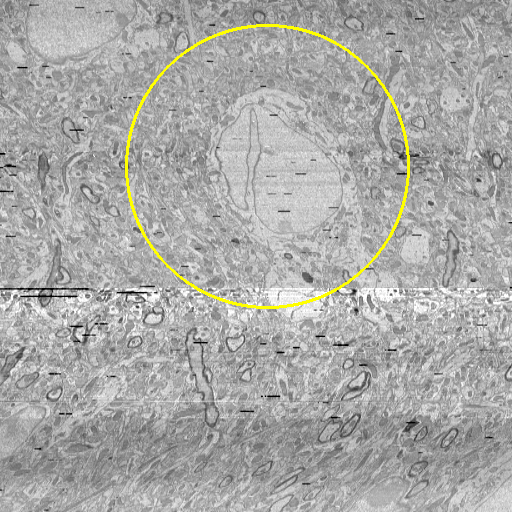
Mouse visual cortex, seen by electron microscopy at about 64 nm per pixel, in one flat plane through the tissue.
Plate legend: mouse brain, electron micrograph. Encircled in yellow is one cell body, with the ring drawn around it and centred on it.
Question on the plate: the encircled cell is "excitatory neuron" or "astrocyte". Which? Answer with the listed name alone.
excitatory neuron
